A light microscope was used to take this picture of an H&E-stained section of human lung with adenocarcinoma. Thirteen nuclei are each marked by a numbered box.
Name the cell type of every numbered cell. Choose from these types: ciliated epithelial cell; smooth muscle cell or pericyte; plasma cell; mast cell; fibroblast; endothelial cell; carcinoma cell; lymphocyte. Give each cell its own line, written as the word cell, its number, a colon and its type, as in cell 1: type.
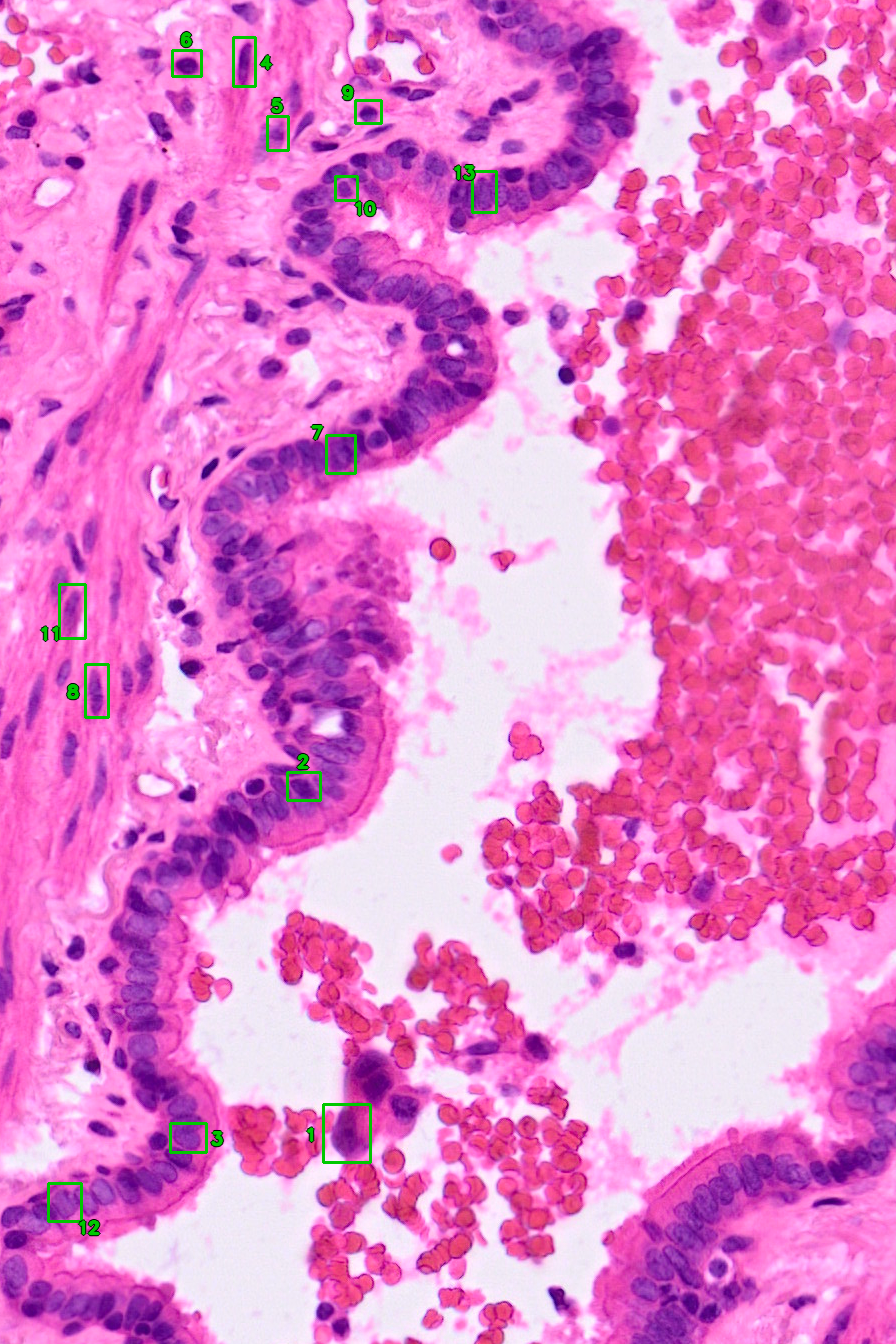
cell 1: carcinoma cell
cell 2: ciliated epithelial cell
cell 3: ciliated epithelial cell
cell 4: smooth muscle cell or pericyte
cell 5: smooth muscle cell or pericyte
cell 6: mast cell
cell 7: ciliated epithelial cell
cell 8: smooth muscle cell or pericyte
cell 9: lymphocyte
cell 10: ciliated epithelial cell
cell 11: smooth muscle cell or pericyte
cell 12: ciliated epithelial cell
cell 13: ciliated epithelial cell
